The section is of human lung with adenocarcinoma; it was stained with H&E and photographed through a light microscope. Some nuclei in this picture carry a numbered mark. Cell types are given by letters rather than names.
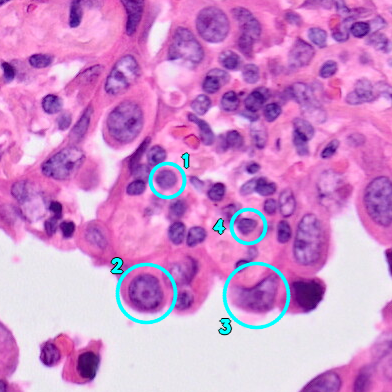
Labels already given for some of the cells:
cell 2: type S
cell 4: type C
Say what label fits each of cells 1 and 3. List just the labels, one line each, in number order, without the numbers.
type C
type S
